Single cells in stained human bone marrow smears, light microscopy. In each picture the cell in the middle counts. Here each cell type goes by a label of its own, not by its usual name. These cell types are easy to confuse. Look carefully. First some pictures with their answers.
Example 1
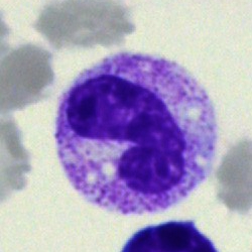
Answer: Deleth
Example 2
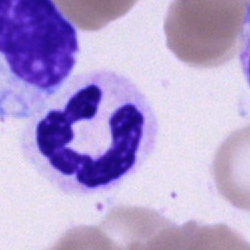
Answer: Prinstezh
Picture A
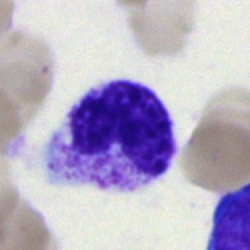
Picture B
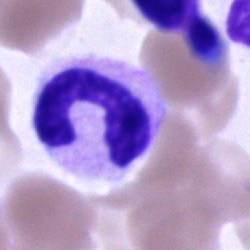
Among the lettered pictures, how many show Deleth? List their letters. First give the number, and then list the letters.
2: A, B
